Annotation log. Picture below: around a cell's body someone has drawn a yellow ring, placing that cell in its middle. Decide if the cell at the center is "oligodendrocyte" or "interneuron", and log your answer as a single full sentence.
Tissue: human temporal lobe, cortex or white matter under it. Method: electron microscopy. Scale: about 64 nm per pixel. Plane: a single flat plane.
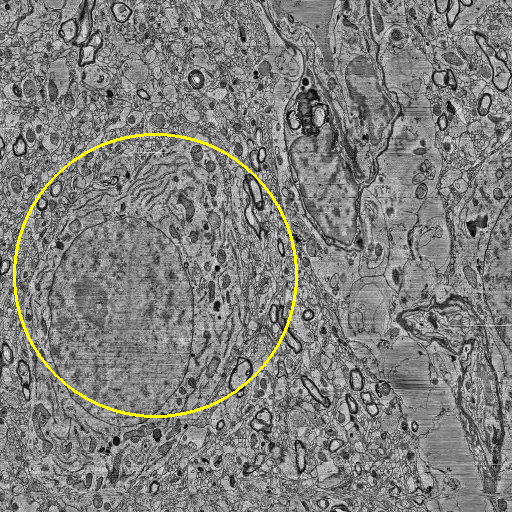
My entry records an interneuron as the cell sitting at the center of the yellow ring.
